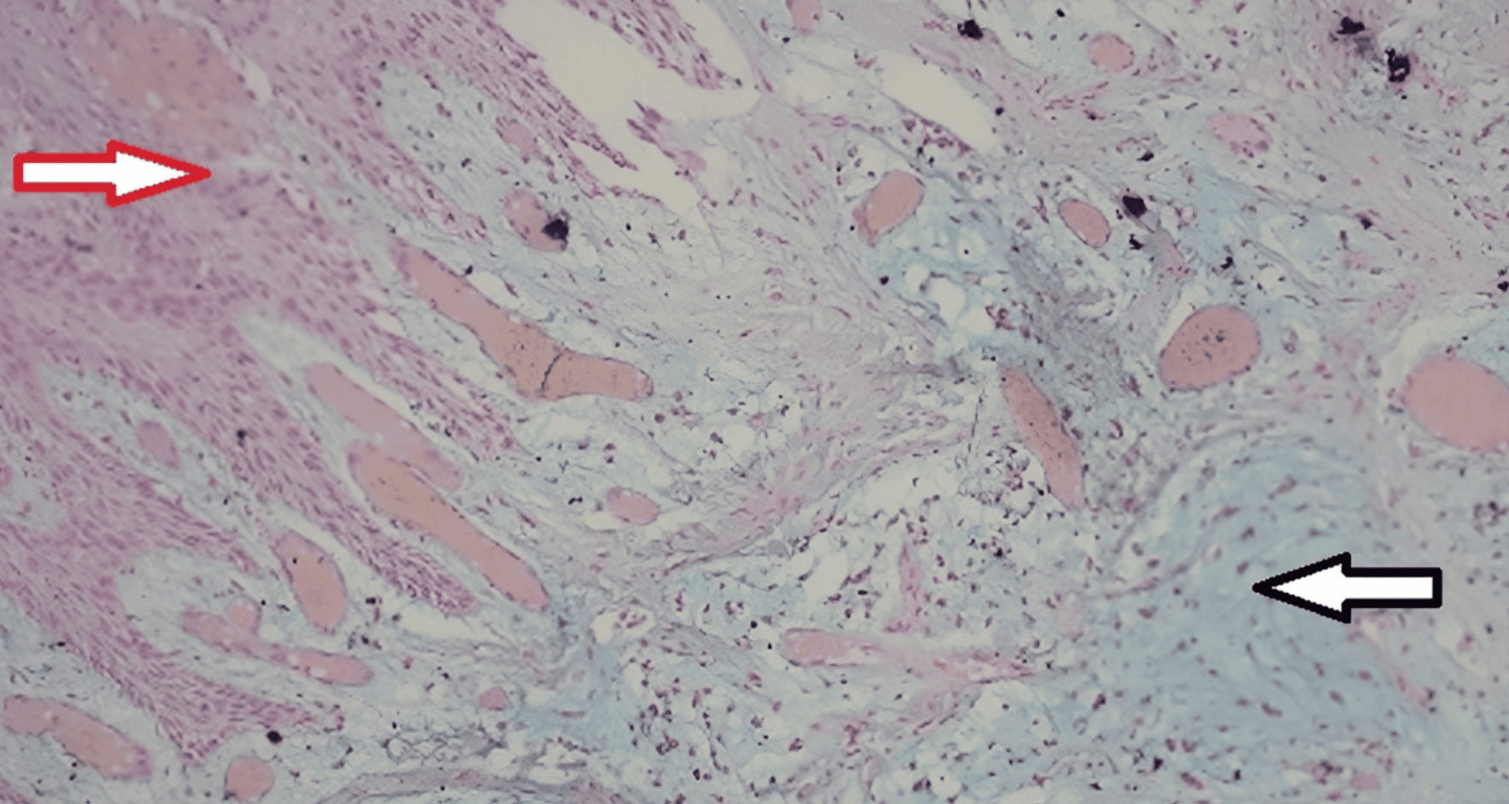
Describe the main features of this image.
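This is connective tissue with a fibrous part and a myxomatous part lying side by side. On the left, the fibrous part is a dense pink-purple field of elongated spindle-shaped nuclei arranged in parallel, streaming bundles. Toward the right and lower right, the tissue becomes a loose, pale blue-green matrix with widely spaced small cells and clear spaces between them. Round and elongated profiles filled with homogeneous pink-orange material are scattered through both areas and are consistent with blood vessels. Small dark specks are also dispersed across the looser areas.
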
